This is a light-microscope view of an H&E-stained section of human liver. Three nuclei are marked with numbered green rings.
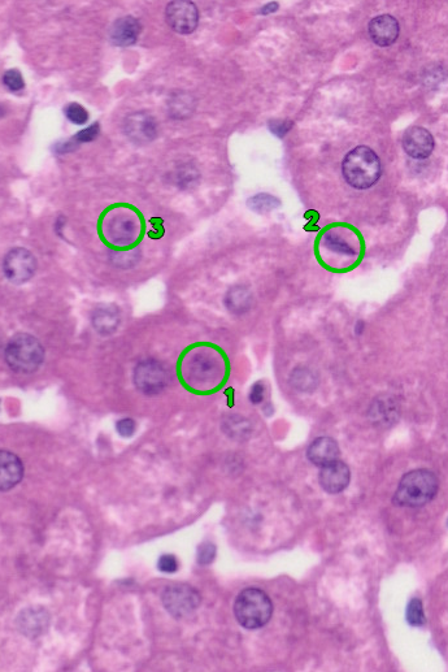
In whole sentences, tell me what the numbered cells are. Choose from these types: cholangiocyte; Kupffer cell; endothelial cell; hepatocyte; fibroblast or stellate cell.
Cells 1 and 3 are hepatocytes. Cell 2 is a fibroblast or stellate cell.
